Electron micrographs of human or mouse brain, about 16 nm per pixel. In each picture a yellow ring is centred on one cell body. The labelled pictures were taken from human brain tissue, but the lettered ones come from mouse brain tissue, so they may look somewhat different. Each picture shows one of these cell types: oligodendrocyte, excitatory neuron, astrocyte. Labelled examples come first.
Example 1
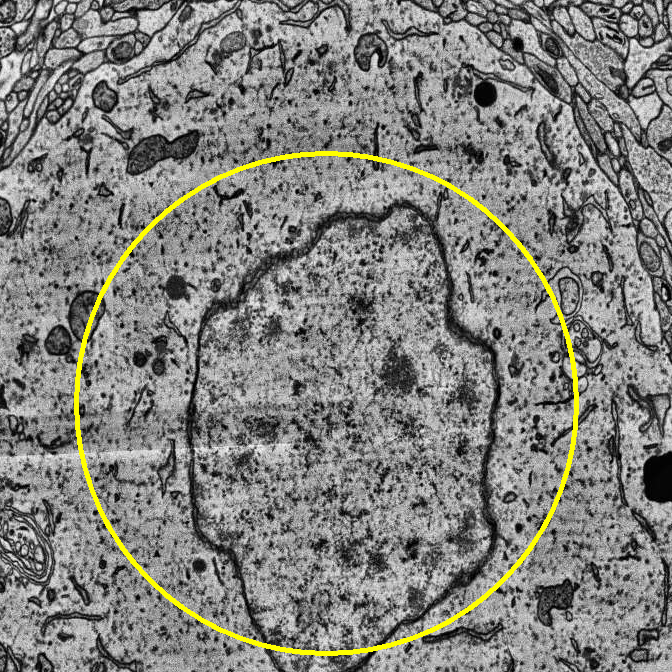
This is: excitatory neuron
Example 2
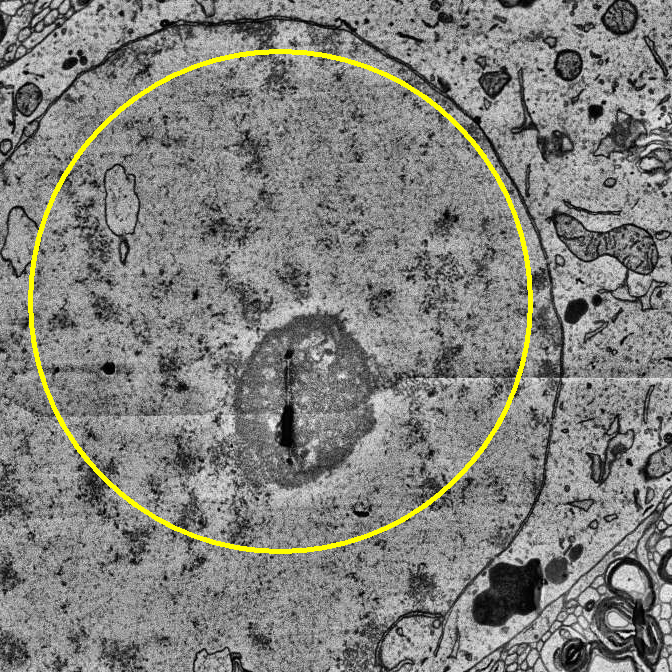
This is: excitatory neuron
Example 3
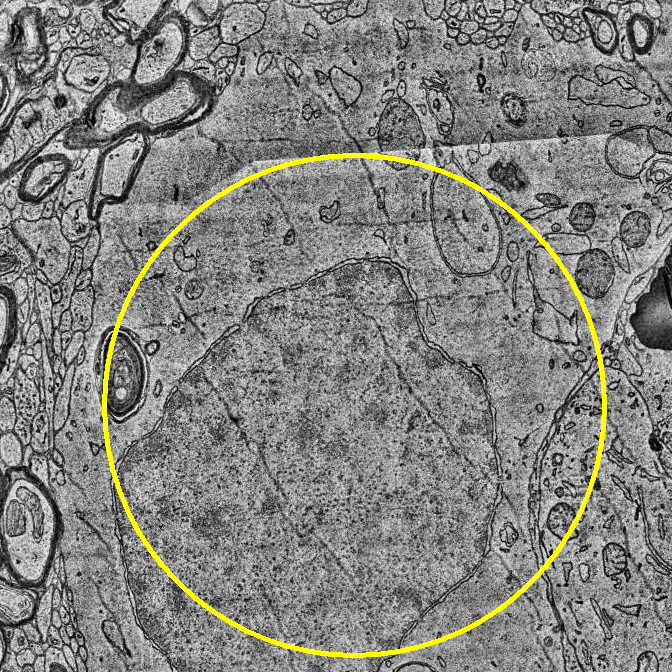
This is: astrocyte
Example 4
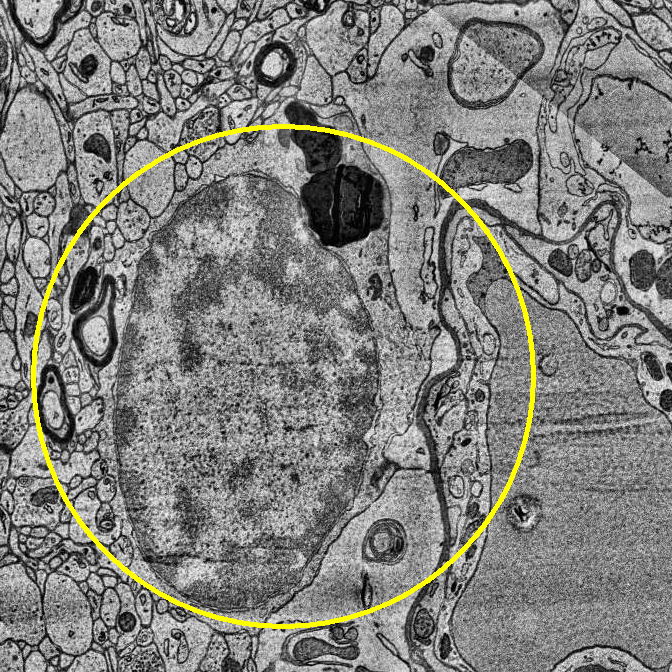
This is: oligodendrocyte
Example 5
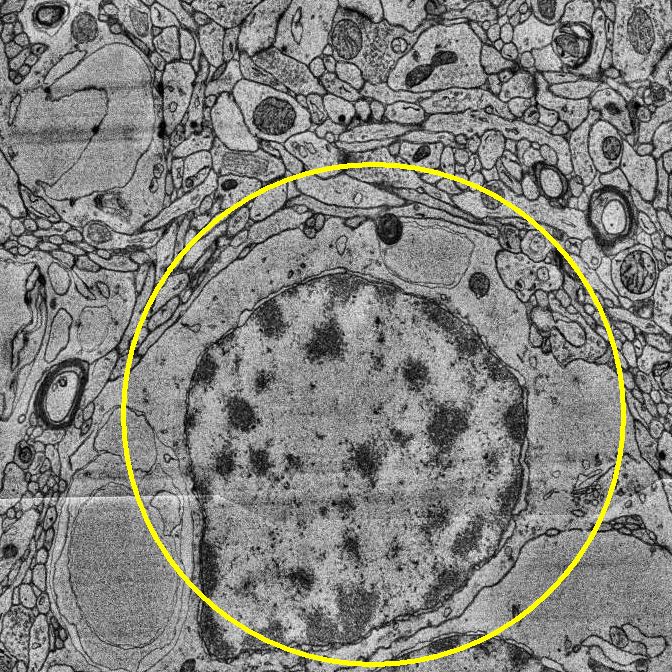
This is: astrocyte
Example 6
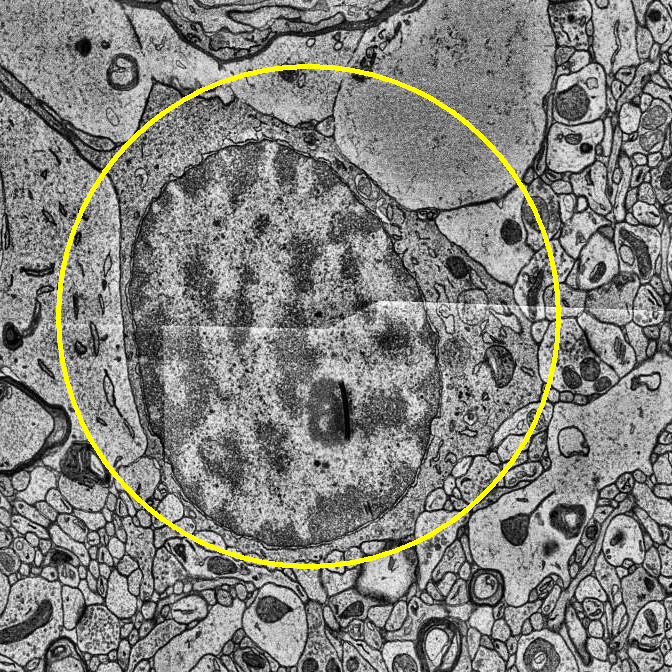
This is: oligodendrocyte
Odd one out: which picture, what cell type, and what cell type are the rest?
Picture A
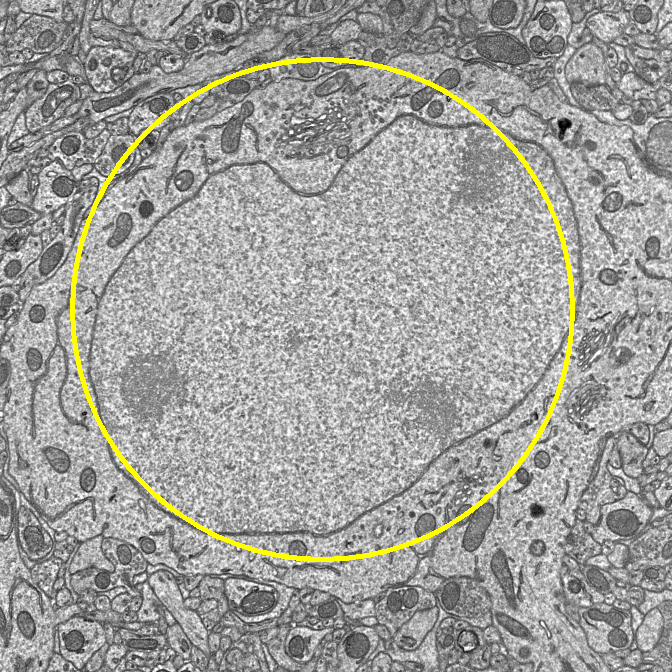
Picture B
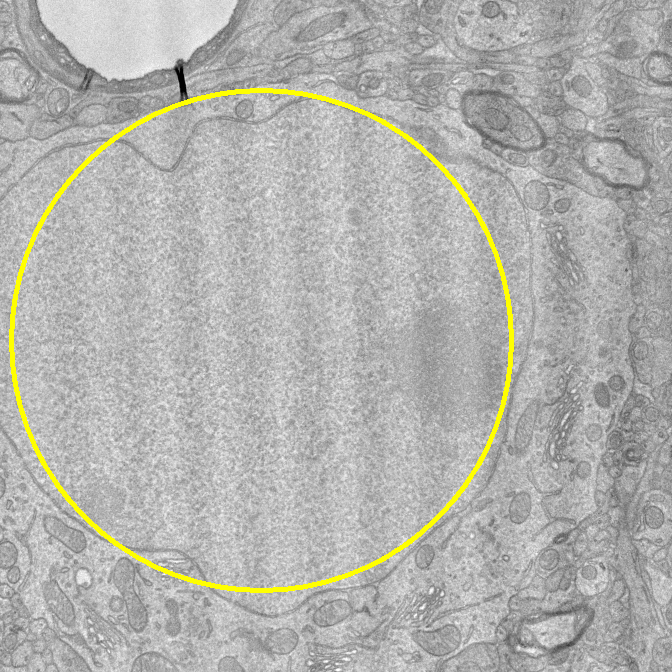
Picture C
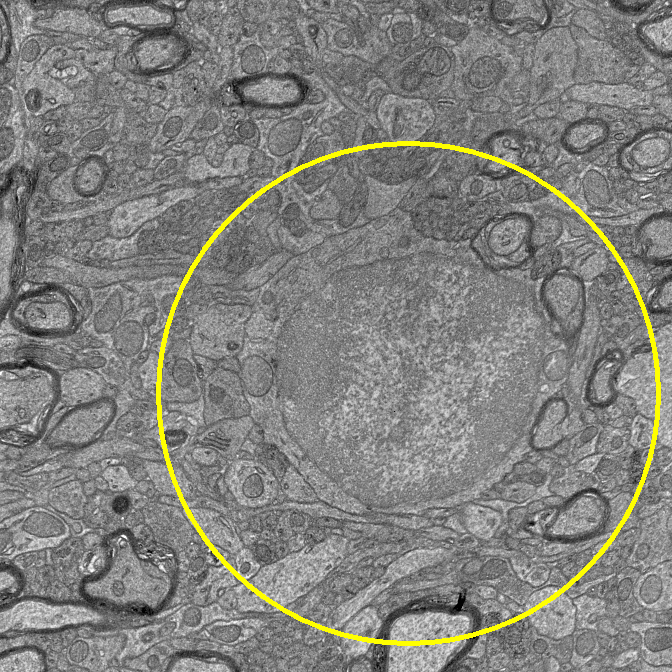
C: oligodendrocyte; all the others: excitatory neuron.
